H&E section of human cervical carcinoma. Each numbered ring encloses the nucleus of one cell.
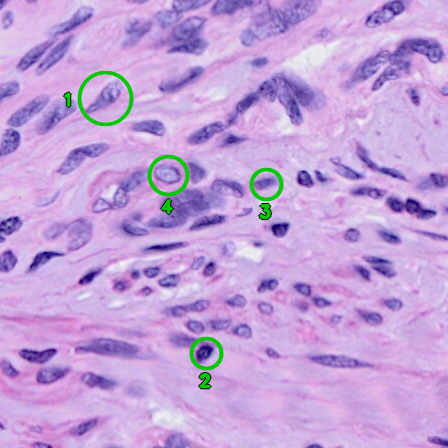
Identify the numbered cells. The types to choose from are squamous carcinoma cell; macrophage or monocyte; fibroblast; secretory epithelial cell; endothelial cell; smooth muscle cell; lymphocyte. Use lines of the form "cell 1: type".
cell 1: smooth muscle cell
cell 2: lymphocyte
cell 3: fibroblast
cell 4: endothelial cell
